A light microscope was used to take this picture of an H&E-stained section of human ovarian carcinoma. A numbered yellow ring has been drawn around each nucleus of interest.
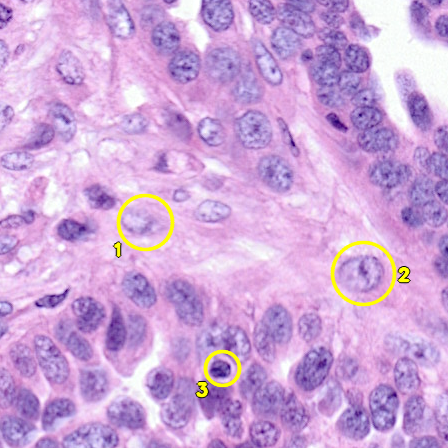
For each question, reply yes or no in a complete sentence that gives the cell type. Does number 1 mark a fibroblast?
Yes, the cell whose number is 1 is a fibroblast.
